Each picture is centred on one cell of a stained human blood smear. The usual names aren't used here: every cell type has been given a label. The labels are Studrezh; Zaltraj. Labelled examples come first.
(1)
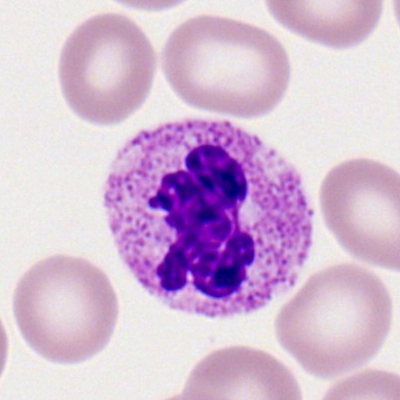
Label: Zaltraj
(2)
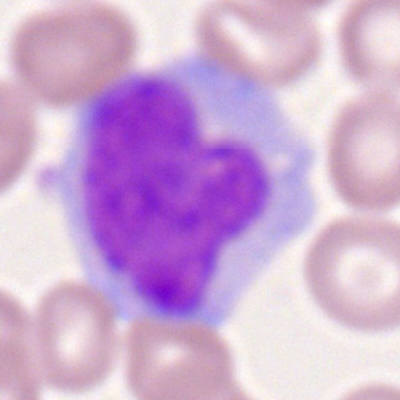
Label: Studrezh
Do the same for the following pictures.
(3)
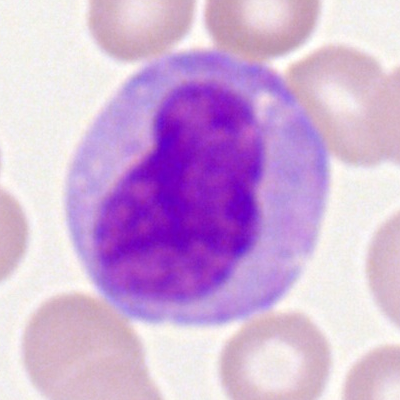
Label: Studrezh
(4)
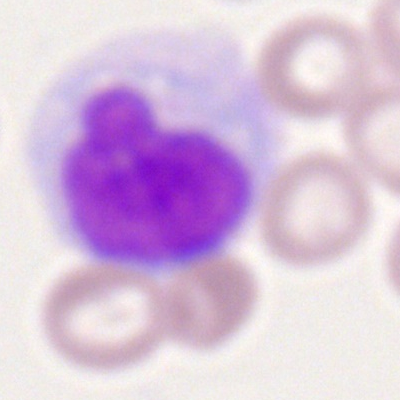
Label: Studrezh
